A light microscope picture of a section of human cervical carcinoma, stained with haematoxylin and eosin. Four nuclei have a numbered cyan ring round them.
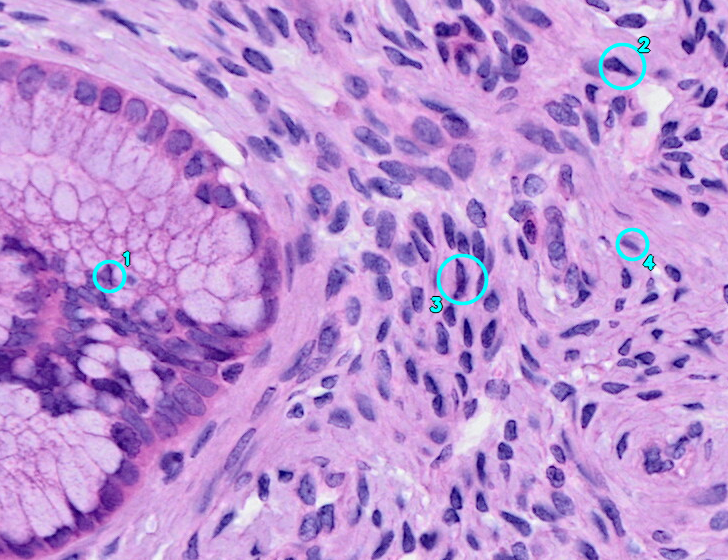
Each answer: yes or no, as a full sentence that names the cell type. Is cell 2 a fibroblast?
Yes, the cell with its nucleus marked 2 is a fibroblast.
